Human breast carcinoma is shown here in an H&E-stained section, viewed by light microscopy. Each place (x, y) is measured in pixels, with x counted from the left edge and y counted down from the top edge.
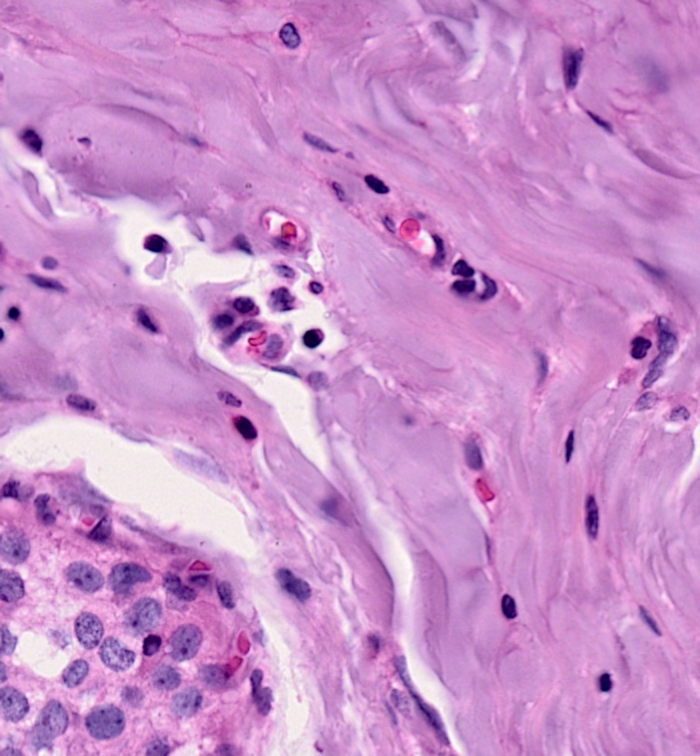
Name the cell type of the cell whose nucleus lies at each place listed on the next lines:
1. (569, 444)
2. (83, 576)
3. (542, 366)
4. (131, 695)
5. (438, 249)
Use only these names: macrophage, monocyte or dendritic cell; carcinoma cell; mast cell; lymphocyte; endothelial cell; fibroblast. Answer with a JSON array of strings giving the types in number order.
["fibroblast", "carcinoma cell", "fibroblast", "carcinoma cell", "endothelial cell"]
